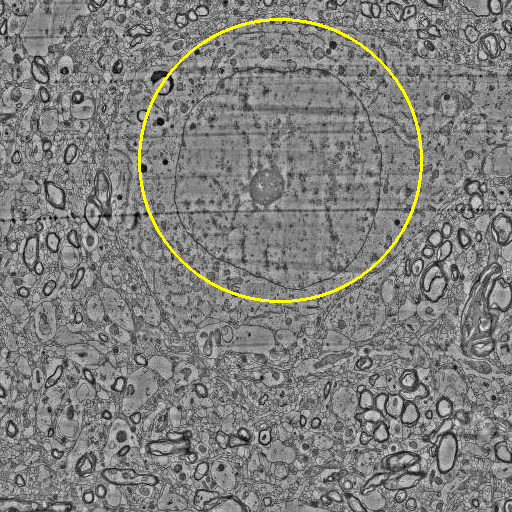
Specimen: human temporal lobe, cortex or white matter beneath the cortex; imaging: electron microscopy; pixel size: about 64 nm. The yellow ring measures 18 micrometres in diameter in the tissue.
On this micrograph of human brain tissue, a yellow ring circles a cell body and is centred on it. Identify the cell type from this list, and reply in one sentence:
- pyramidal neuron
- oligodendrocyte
The cell at the centre is a pyramidal neuron.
